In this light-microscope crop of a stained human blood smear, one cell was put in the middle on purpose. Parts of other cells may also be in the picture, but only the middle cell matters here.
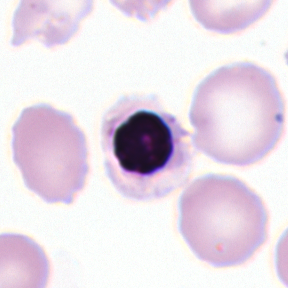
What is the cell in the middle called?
normoblast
